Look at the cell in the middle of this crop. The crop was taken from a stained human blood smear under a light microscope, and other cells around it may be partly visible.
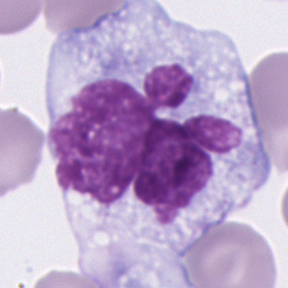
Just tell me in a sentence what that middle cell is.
The crop's centre is taken up by a monocyte.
